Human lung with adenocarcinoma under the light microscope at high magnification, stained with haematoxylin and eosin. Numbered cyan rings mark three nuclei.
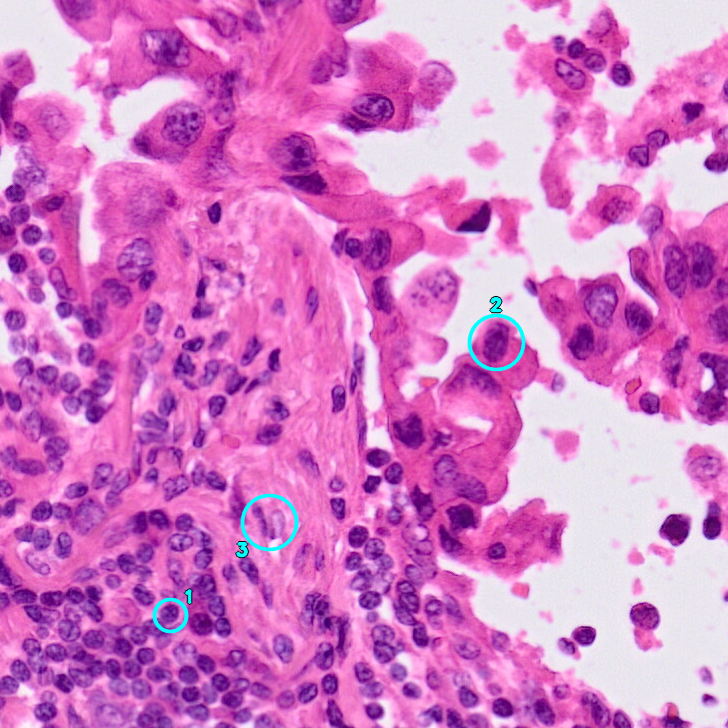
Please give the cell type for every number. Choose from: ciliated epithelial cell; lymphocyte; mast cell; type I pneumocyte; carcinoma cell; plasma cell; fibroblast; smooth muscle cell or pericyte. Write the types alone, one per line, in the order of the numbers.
lymphocyte
carcinoma cell
fibroblast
